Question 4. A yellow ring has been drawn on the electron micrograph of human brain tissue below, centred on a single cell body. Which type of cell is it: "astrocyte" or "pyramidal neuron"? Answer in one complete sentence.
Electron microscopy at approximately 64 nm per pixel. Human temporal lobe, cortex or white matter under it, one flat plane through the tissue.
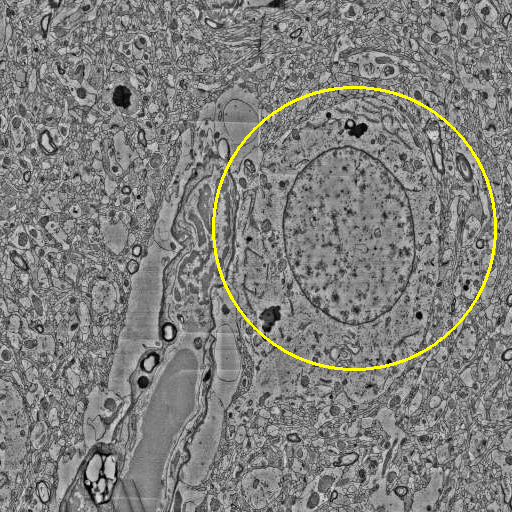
This cell body belongs to a pyramidal neuron.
